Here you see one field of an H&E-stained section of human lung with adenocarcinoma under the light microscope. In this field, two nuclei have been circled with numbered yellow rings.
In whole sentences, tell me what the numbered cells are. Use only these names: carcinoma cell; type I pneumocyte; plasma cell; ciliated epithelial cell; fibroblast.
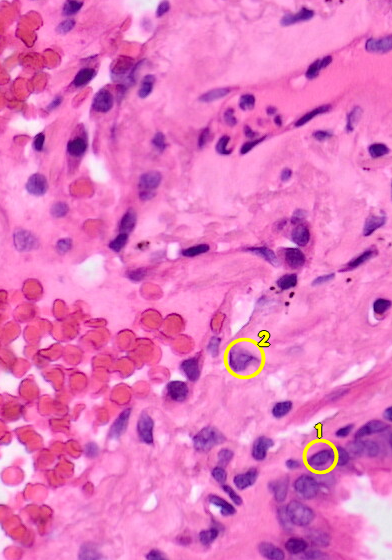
Cell 1 is a ciliated epithelial cell and cell 2 is a fibroblast.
